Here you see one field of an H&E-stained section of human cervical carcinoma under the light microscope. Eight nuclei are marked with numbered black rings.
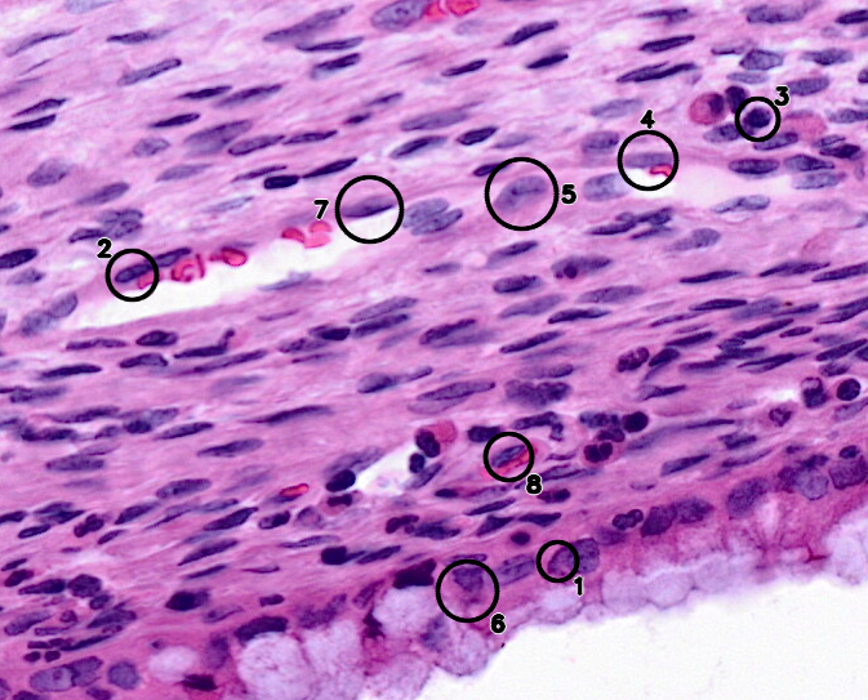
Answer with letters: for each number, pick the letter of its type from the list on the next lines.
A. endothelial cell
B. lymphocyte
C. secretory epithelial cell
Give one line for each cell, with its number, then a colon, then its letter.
1: C
2: A
3: B
4: A
5: A
6: C
7: A
8: A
